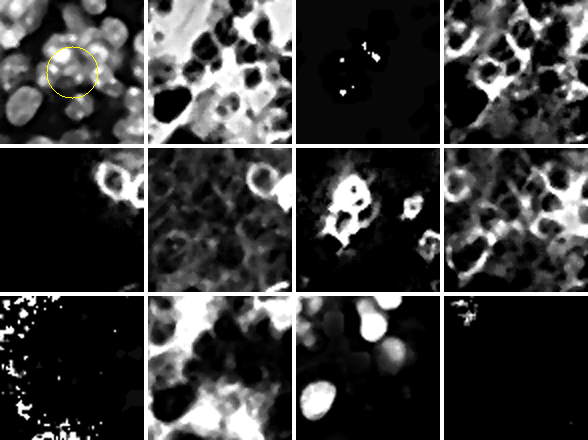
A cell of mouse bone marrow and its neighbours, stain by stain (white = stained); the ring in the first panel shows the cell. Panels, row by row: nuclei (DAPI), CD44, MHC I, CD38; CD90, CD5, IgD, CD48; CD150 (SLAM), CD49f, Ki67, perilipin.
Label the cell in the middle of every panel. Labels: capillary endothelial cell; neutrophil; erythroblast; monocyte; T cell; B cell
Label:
B cell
